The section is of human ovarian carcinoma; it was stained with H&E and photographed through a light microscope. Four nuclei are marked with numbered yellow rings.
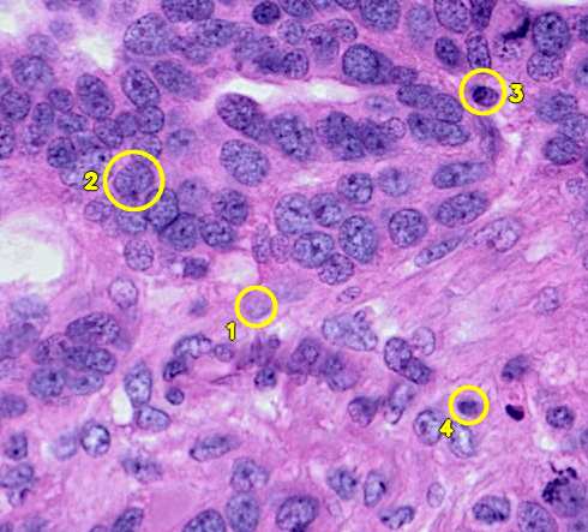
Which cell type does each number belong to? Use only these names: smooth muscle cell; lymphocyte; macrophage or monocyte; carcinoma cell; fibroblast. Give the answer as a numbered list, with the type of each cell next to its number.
1. fibroblast
2. carcinoma cell
3. macrophage or monocyte
4. lymphocyte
